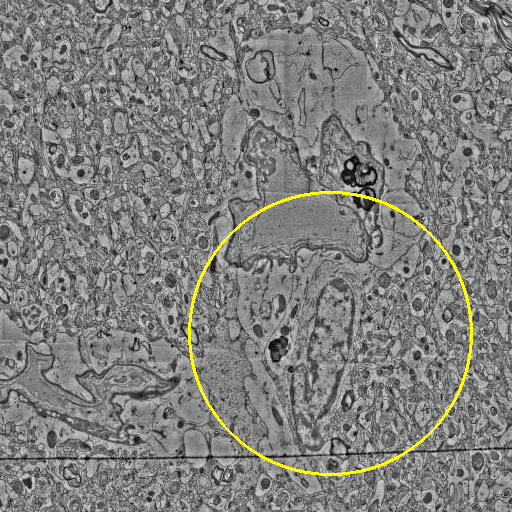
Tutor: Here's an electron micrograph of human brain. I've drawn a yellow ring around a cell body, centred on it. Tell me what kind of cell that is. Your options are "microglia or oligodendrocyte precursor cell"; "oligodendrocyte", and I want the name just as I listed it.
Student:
microglia or oligodendrocyte precursor cell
